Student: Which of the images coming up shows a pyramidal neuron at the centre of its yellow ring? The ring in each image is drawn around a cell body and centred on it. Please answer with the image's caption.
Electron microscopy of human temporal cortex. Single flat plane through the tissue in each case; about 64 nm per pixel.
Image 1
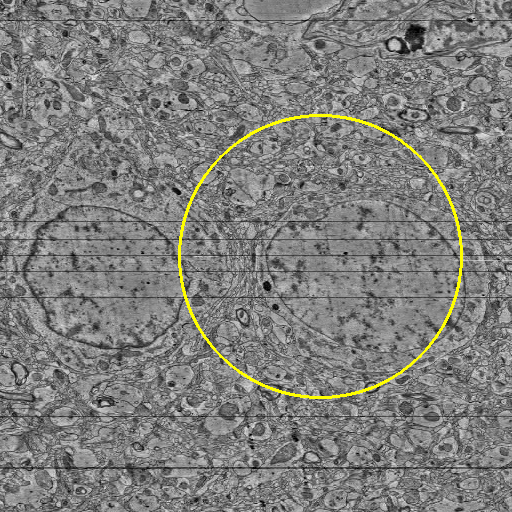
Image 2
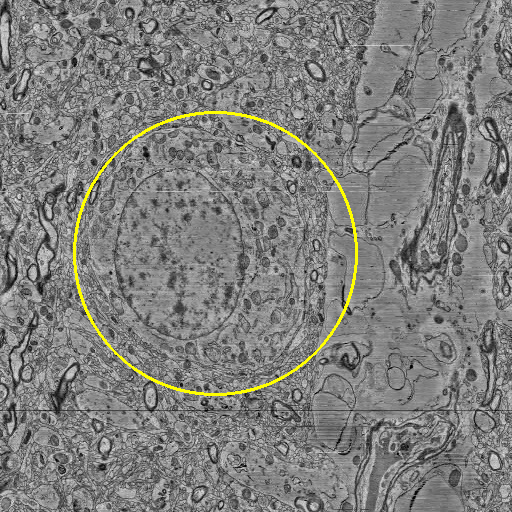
Image 1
